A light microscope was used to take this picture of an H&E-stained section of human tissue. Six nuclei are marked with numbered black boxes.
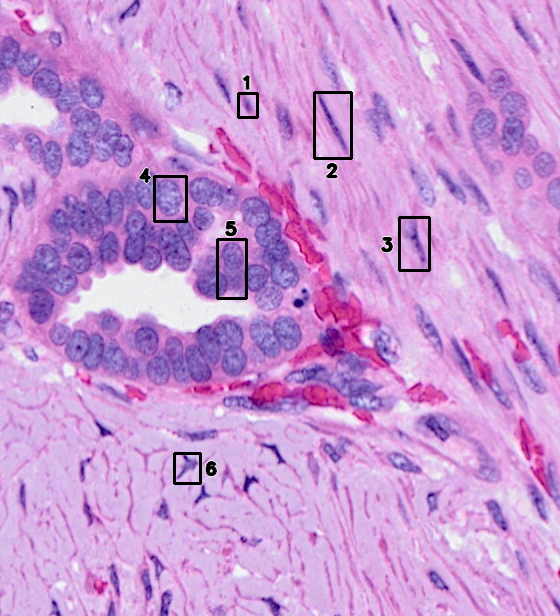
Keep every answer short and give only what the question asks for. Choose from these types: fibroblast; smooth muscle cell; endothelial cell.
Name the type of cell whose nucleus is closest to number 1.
fibroblast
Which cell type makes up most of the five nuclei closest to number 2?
fibroblast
